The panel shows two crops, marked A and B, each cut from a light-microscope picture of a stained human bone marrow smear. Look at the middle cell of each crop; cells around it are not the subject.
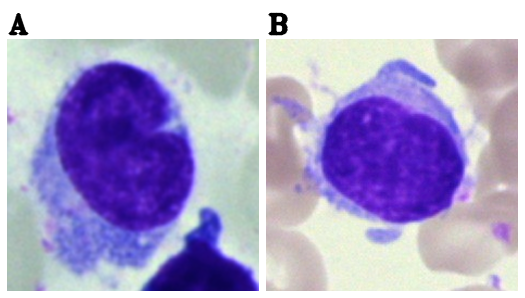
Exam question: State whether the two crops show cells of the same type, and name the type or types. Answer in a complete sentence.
Yes, the cells centred in the two crops are both hairy cells.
